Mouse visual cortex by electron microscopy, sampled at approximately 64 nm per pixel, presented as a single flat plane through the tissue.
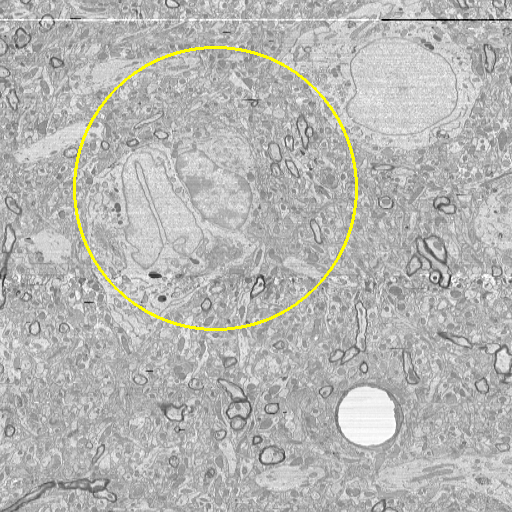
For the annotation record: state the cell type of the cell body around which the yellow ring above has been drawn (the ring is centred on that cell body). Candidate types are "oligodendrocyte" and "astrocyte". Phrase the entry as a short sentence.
The ringed cell is an oligodendrocyte.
